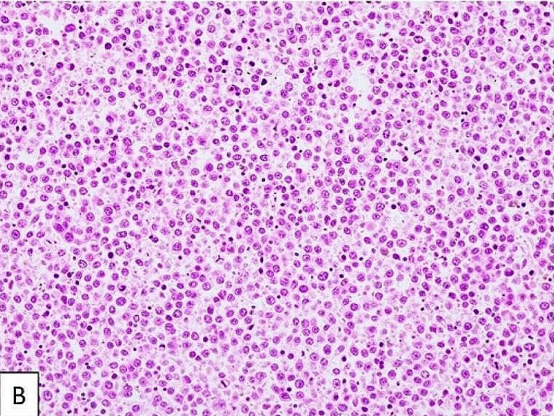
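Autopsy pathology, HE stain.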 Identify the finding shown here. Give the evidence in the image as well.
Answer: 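Sheets of closely packed, similar cells fill the whole field. No glands, nests or normal tissue structure are seen. Nuclei are enlarged and round to oval. That points to this answer: diffuse proliferation of tumor cells.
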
